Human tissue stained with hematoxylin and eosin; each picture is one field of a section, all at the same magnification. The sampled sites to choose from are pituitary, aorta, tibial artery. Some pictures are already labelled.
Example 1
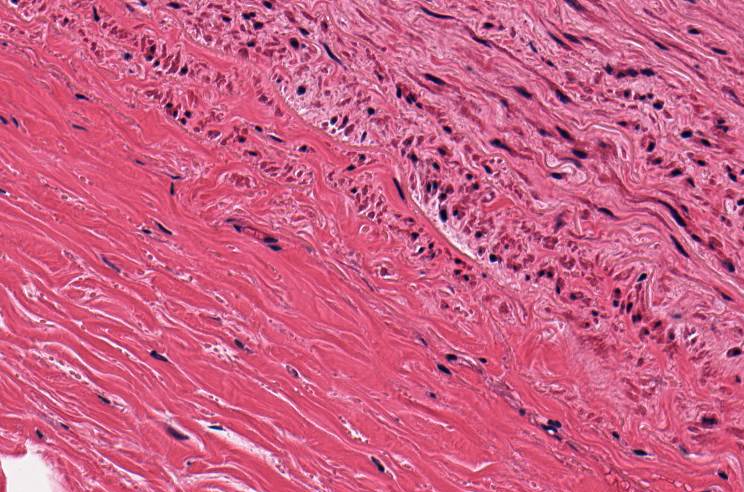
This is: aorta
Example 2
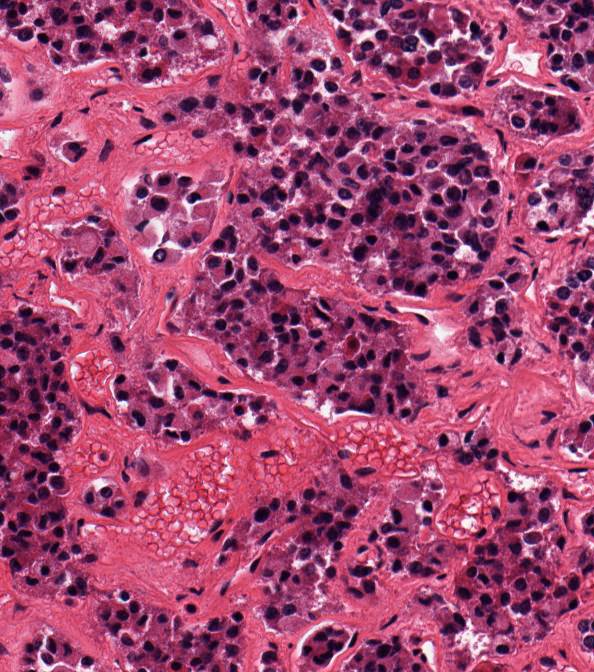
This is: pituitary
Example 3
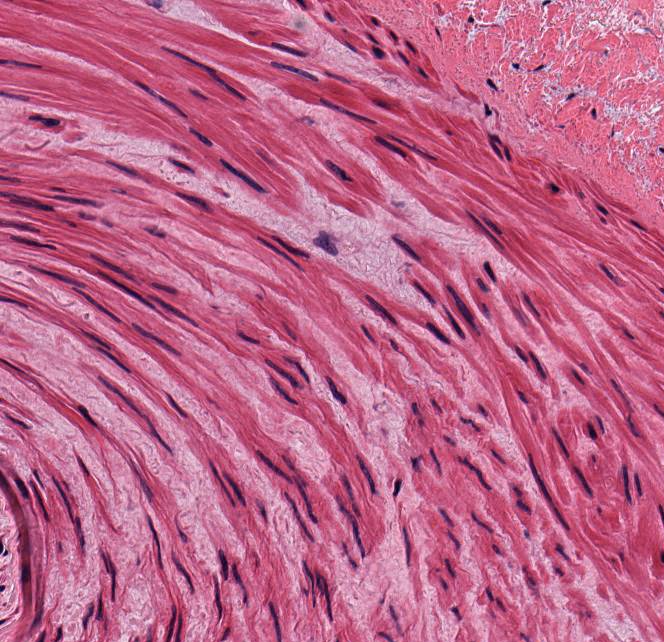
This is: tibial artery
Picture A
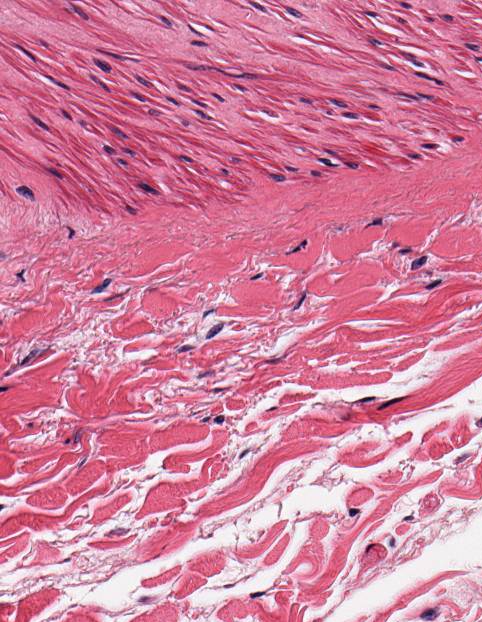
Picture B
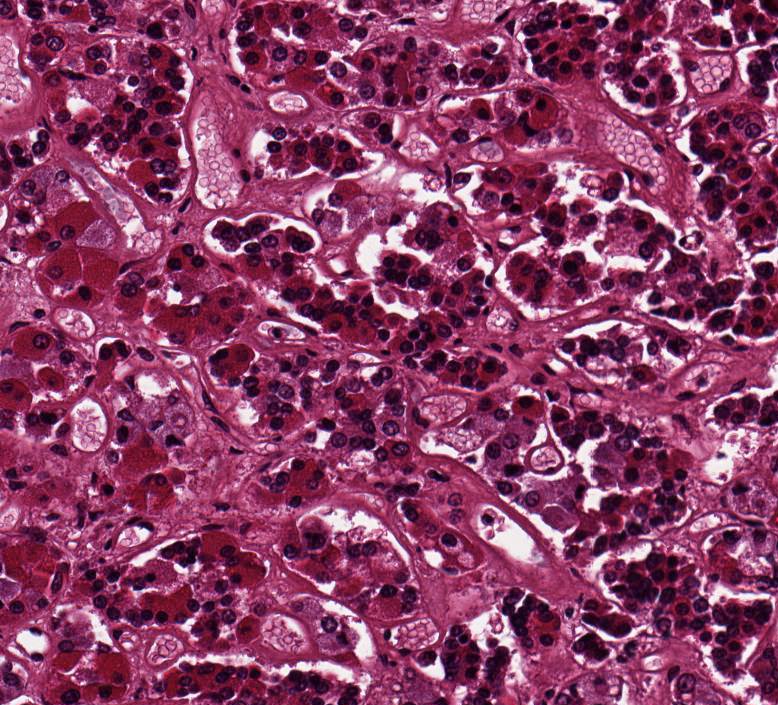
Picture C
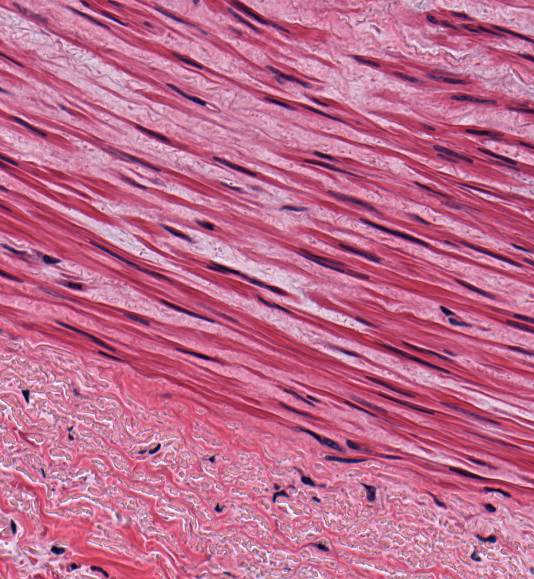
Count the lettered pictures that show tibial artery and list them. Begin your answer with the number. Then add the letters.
2: A, C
